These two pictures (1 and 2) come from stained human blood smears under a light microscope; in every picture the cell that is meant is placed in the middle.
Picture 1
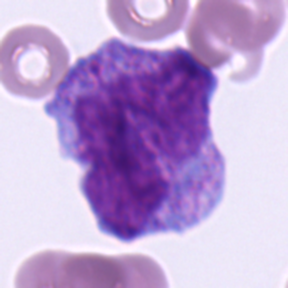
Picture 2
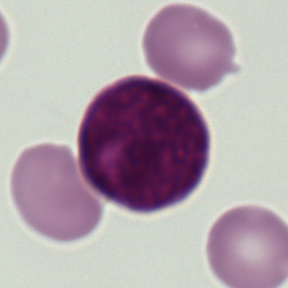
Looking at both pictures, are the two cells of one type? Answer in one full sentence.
No, picture 1 shows an atypical promyelocyte and picture 2 shows a myeloblast.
